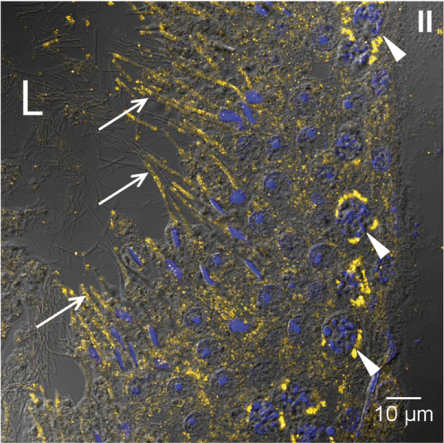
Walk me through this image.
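Part of a seminiferous tubule wall with its lumen at upper left, showing bundles of long thin spermatid tails that run from the inner epithelium into the lumen and carry yellow label along their length. Toward the outer edge lie round spermatogonia with rounded blue nuclei, several of them rimmed by crescents of bright yellow; between them and the lumen are layers of cells with round nuclei and small elongated blue nuclei near the tail bases.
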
